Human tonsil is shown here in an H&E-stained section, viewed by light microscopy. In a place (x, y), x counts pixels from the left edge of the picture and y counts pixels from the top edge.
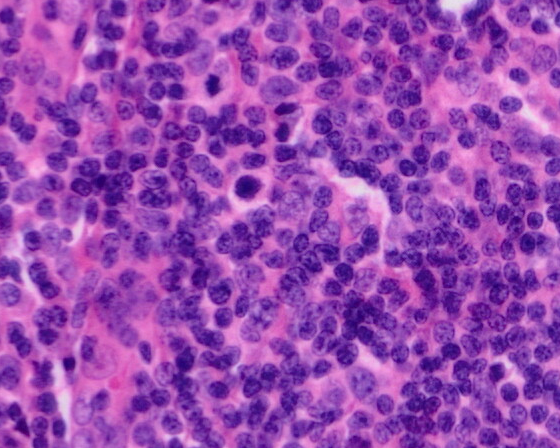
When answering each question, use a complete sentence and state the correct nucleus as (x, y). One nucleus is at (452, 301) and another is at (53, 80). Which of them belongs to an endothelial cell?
Of these two nuclei, only the one at (53, 80) belongs to an endothelial cell.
